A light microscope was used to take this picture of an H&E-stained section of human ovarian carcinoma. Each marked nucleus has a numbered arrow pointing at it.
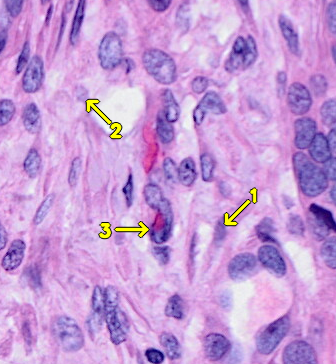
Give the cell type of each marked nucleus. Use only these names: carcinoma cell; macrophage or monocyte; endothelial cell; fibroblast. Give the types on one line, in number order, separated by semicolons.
fibroblast; fibroblast; endothelial cell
